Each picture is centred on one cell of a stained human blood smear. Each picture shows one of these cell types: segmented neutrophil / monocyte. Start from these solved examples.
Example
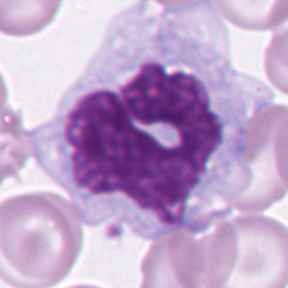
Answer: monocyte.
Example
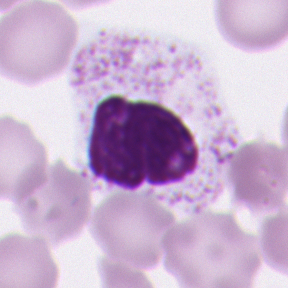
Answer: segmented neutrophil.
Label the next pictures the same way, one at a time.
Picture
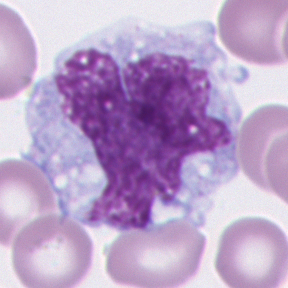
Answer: monocyte.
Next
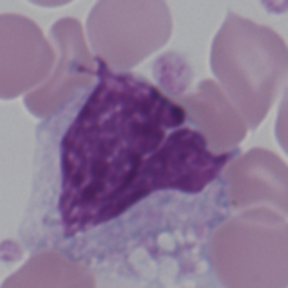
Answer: monocyte.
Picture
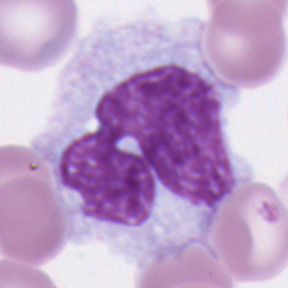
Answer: monocyte.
